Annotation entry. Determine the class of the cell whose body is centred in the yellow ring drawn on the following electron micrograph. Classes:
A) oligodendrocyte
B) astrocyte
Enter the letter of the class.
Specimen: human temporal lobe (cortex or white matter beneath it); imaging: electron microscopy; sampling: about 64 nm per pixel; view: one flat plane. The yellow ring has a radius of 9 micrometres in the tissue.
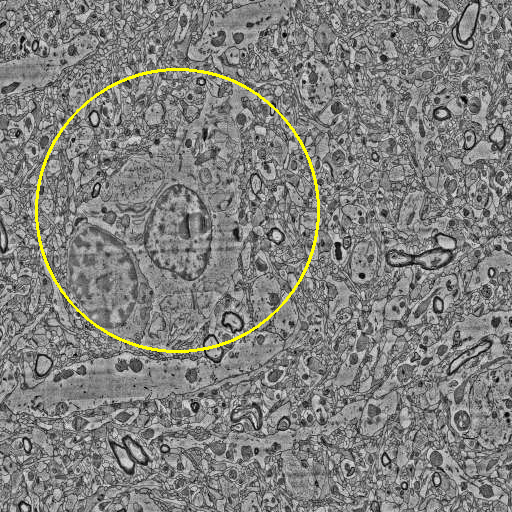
B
